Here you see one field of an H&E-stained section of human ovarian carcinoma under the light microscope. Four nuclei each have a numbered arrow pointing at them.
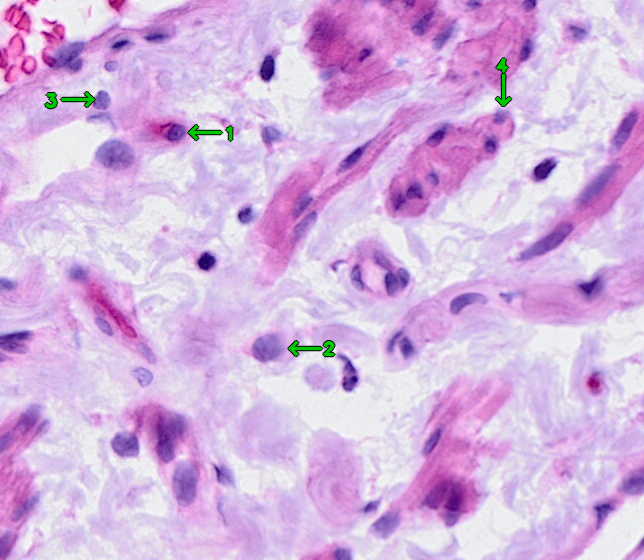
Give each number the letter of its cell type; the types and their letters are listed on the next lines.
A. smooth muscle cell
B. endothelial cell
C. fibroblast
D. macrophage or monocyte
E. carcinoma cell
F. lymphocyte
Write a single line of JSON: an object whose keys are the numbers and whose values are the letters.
{"1": "B", "2": "C", "3": "F", "4": "A"}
